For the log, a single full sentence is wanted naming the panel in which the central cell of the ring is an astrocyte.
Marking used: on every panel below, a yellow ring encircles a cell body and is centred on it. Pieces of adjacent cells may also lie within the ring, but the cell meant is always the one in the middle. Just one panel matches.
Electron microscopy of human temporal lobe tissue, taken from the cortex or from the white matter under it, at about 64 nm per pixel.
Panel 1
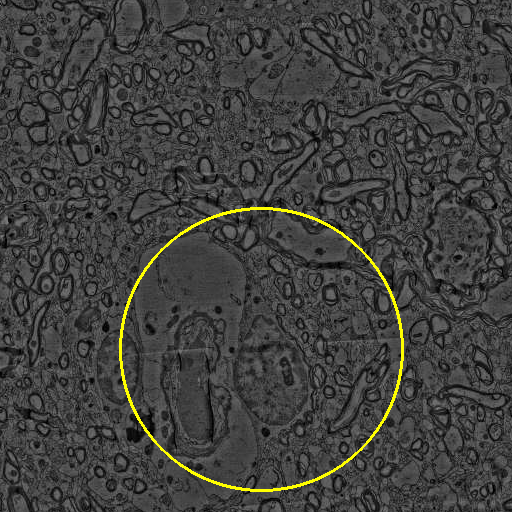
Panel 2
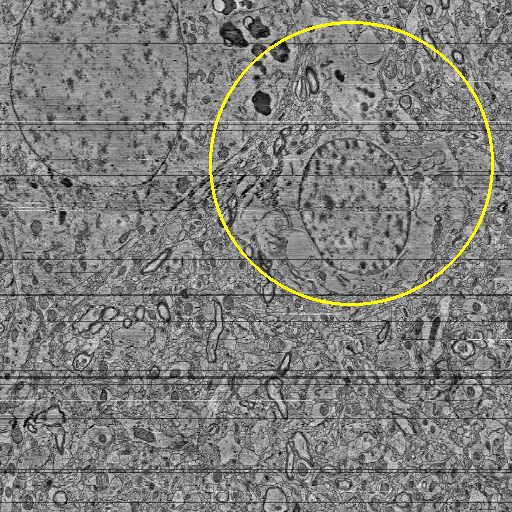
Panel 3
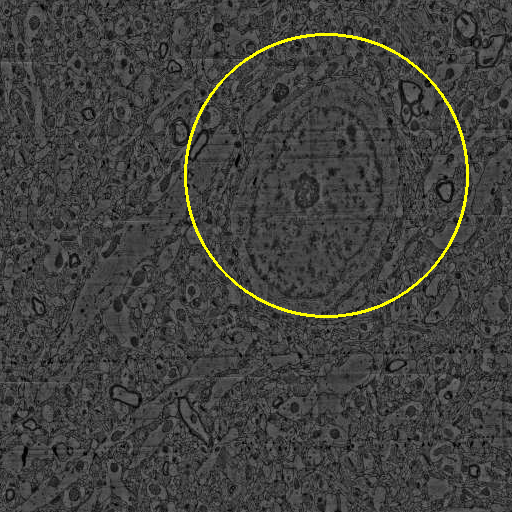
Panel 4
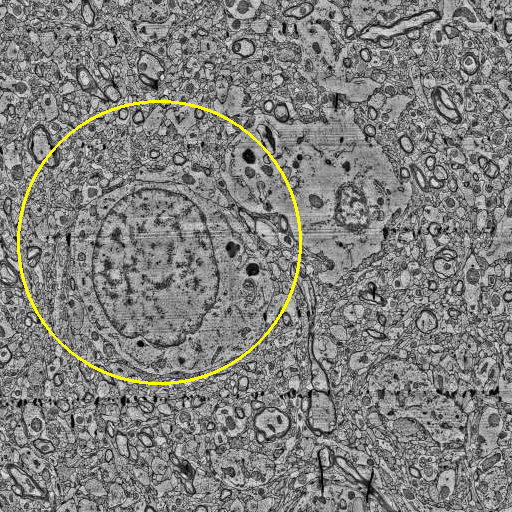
The cell in the middle of the ring in panel 2 is the one asked for.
